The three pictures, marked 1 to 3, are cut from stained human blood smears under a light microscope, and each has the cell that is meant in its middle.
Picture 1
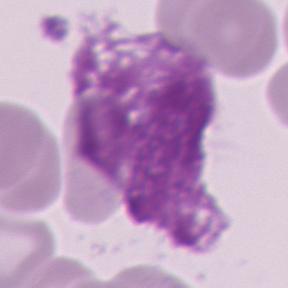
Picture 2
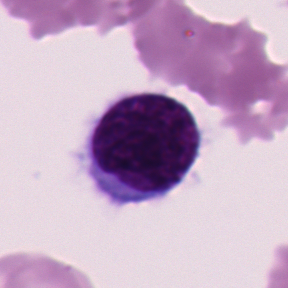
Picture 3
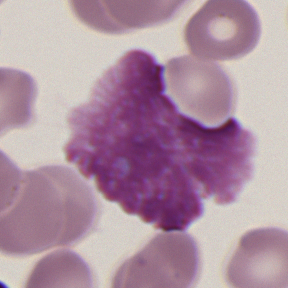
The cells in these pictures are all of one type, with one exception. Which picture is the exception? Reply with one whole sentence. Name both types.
The others show smudge cells, but picture 2 shows a hairy cell.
